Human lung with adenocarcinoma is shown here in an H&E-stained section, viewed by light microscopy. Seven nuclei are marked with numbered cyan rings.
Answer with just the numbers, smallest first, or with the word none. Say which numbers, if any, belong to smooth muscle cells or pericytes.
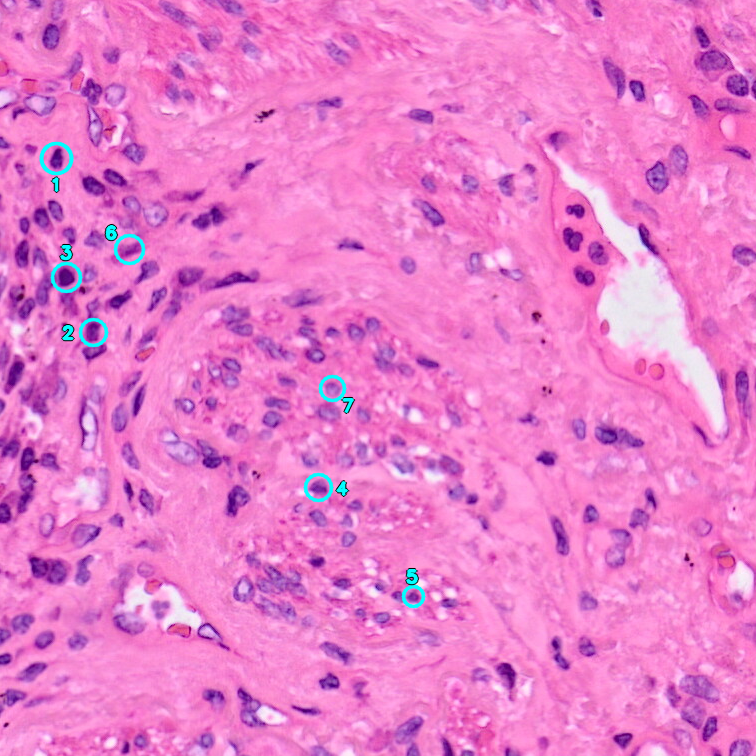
4, 5, 7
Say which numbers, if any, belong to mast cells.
1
